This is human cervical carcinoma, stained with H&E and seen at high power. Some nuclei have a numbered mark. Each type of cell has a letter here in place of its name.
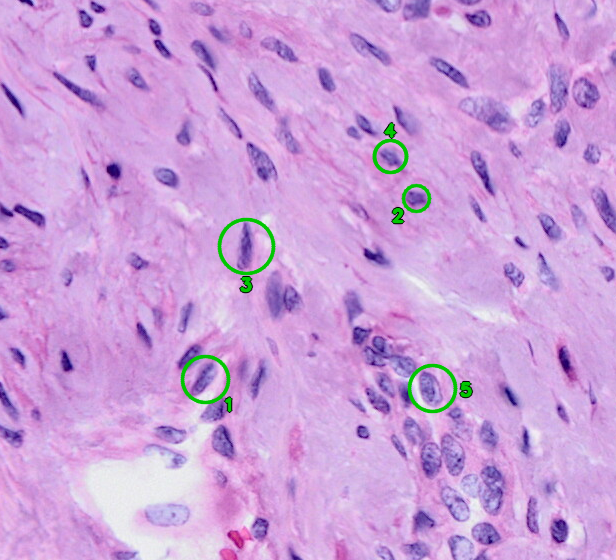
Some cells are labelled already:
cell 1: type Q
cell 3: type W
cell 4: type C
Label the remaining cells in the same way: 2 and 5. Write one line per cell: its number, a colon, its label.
2: type C
5: type Q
